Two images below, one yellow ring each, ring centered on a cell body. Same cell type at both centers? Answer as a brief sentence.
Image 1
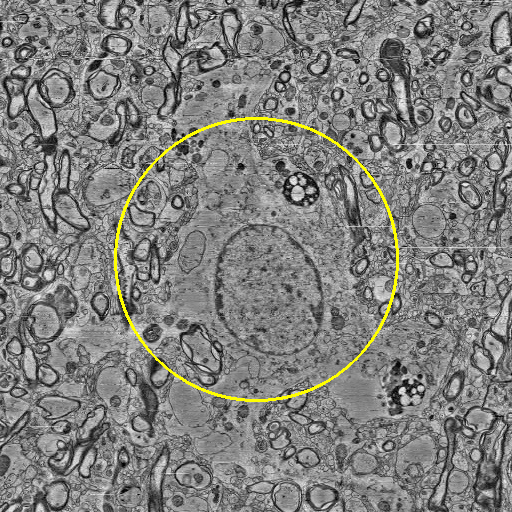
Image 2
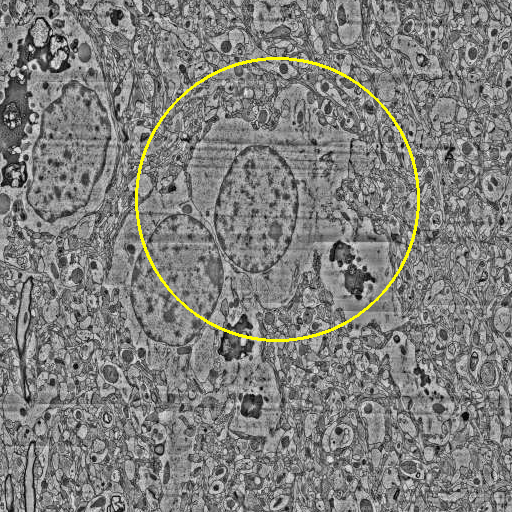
Yes, both cells are of the same type.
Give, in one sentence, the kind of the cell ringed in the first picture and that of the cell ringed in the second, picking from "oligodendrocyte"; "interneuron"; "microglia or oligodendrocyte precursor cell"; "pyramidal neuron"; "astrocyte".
In each picture the ringed cell is an astrocyte.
